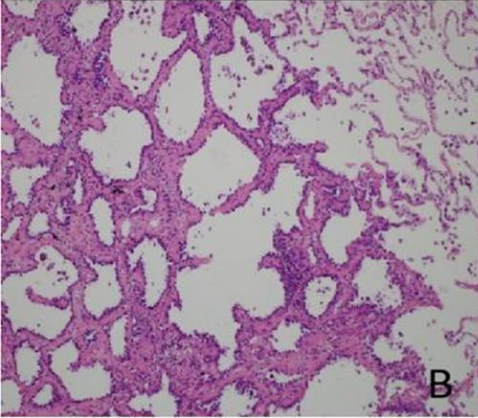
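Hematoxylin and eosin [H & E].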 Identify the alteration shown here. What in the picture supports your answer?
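Lepidic growth. Airspaces keep their alveolar outline. Alveolar walls on the left are thickened and lined by cells. Thin, delicate alveolar walls are at the right edge.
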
